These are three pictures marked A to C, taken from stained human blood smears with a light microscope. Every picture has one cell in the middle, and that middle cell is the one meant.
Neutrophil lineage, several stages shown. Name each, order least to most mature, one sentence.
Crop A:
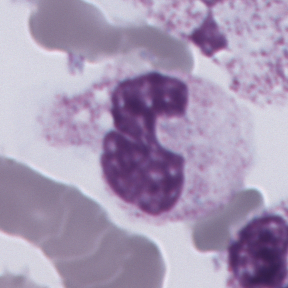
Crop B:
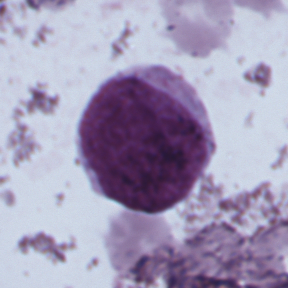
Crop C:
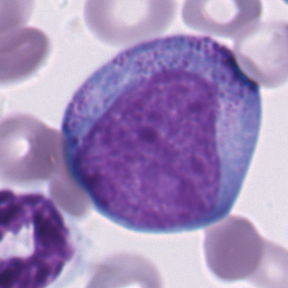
Least mature to most mature, the lineup is crop B (a myeloblast), crop C (a promyelocyte) and crop A (a segmented neutrophil).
